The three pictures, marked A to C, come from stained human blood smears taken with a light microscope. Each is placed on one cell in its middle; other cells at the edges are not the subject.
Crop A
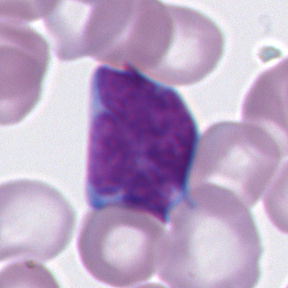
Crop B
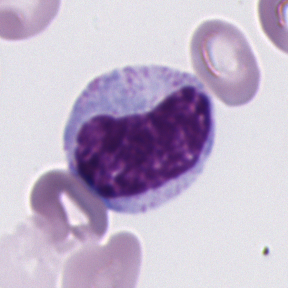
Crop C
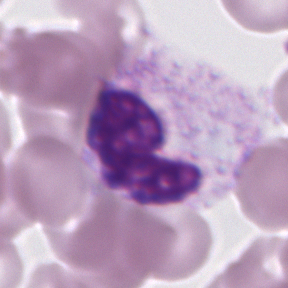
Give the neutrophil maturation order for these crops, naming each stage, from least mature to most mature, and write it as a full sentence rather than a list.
The maturation sequence, from earliest to latest, is crop A (a myeloblast), crop B (a metamyelocyte) and crop C (a segmented neutrophil).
